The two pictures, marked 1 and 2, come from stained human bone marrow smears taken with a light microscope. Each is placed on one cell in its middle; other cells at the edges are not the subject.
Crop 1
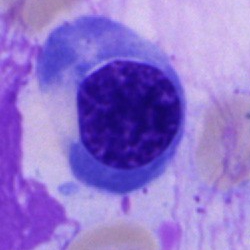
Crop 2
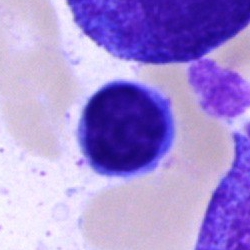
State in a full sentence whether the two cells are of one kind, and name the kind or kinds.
No, crop 1 depicts a normoblast; crop 2 depicts a lymphocyte.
